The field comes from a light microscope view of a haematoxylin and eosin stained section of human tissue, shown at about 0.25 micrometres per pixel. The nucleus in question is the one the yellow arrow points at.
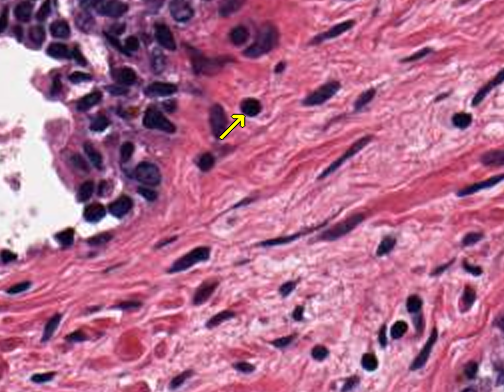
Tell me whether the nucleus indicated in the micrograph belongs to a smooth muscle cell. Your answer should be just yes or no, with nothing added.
no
